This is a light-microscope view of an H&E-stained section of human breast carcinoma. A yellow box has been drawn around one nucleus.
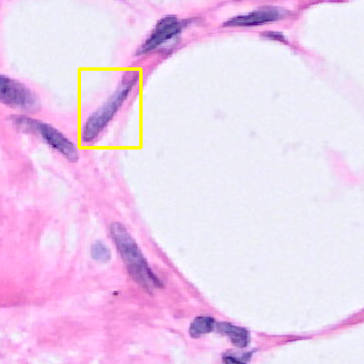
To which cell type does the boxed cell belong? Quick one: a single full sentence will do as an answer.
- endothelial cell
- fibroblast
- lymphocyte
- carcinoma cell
To be brief about it, the boxed cell is an endothelial cell.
